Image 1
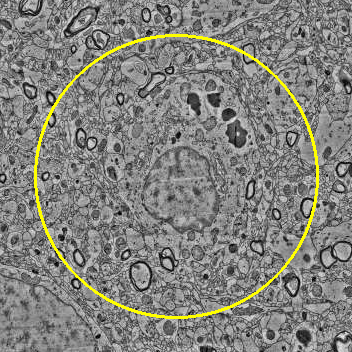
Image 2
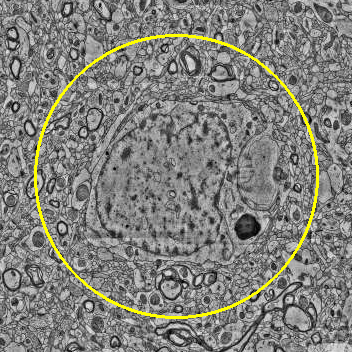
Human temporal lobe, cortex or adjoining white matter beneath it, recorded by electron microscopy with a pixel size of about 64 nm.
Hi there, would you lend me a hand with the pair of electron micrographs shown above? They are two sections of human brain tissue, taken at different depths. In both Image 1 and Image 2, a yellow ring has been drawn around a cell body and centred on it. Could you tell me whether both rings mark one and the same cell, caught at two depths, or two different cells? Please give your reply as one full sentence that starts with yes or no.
No, the rings mark separate cells, one per ring.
